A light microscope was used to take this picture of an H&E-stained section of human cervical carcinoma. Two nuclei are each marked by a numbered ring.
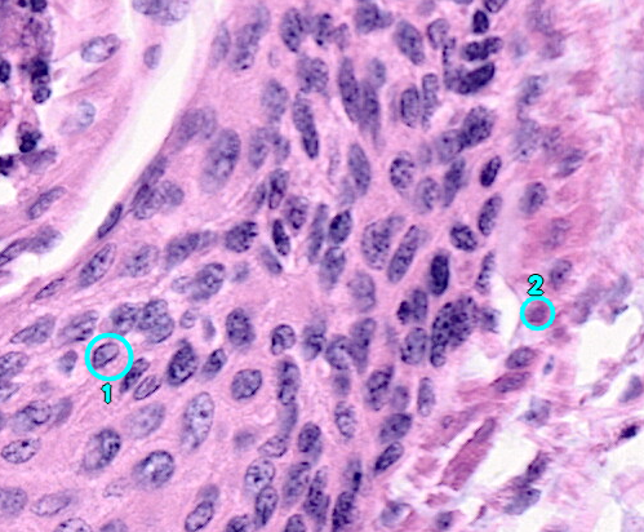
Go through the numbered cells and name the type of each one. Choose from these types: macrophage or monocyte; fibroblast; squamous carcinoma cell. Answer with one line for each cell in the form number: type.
1: squamous carcinoma cell
2: fibroblast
